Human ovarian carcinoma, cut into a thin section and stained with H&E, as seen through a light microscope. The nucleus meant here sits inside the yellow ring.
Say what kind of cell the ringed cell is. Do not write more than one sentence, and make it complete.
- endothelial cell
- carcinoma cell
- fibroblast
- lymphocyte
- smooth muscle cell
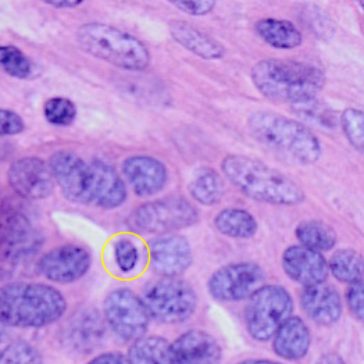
On this particular slide, the ringed cell is a lymphocyte.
